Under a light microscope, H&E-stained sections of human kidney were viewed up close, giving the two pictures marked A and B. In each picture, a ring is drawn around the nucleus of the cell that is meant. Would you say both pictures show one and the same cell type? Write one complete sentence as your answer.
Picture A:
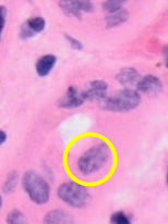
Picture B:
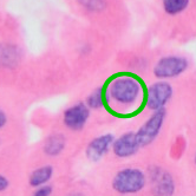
Yes, they are the same type: both are collecting duct cells.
